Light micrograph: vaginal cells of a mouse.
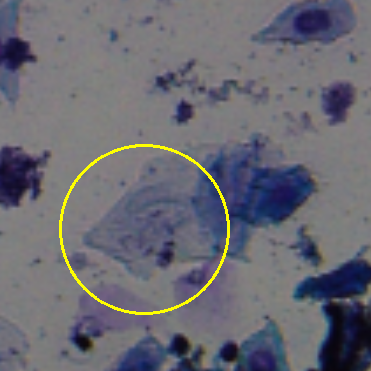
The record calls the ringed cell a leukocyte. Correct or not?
Not correct; it is a cornified epithelial cell.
